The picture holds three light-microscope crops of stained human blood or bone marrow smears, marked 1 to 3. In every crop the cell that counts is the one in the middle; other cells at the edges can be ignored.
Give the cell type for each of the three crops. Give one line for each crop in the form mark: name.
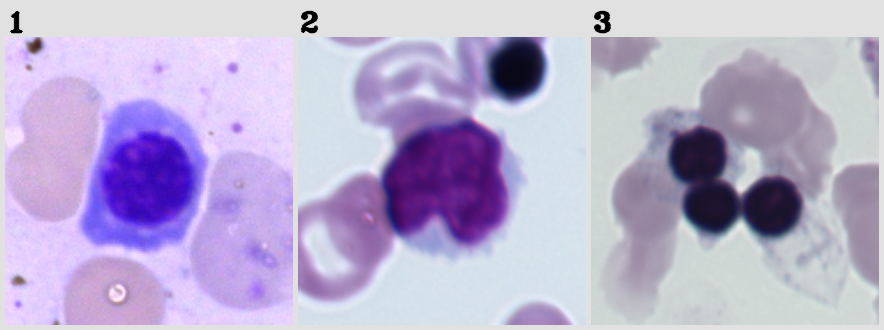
1: erythroblast
2: lymphocyte
3: erythroblast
